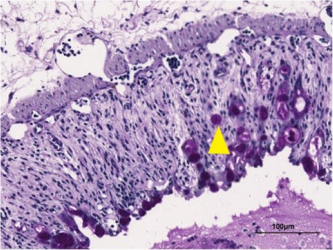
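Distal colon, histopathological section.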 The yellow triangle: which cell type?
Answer: Goblet cells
